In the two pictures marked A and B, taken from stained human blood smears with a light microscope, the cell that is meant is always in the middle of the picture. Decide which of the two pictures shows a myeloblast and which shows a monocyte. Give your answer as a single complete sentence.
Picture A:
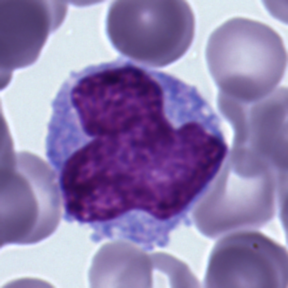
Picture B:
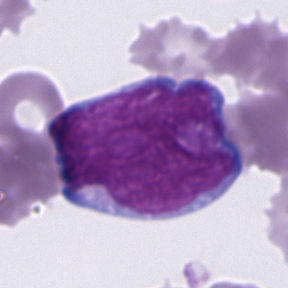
The cell in picture A is a monocyte, and the one in picture B is a myeloblast.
